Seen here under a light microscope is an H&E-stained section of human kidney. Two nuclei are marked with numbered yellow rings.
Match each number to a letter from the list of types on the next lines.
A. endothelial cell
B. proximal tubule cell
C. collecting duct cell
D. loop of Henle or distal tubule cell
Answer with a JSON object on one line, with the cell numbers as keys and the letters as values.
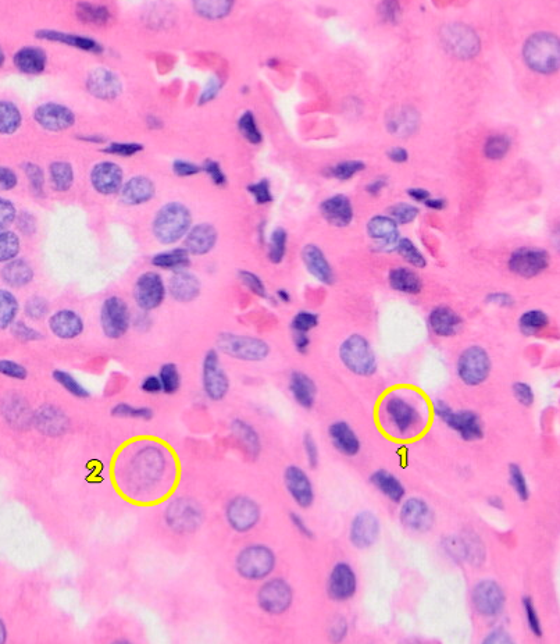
{"1": "D", "2": "B"}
